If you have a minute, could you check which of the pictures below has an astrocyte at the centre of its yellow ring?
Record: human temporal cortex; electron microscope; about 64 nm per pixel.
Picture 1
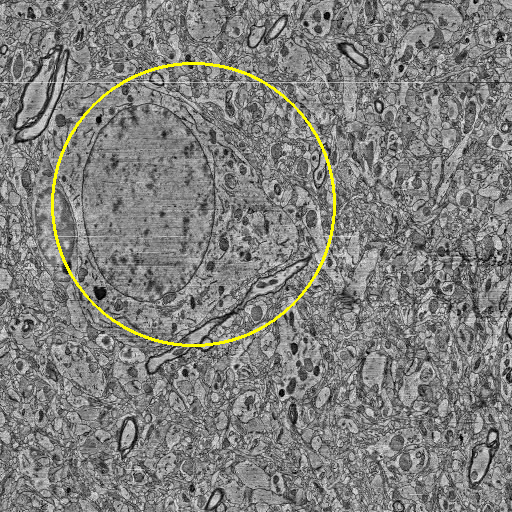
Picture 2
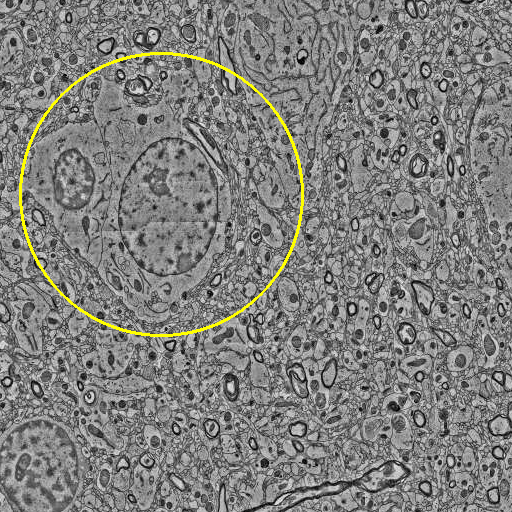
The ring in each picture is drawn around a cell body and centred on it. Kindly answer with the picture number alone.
2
